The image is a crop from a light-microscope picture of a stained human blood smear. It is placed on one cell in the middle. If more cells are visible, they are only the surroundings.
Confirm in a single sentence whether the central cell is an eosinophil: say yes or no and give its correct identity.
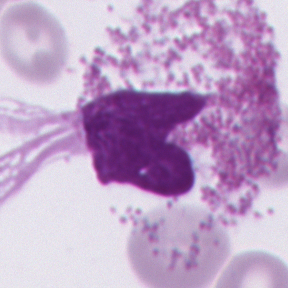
Yes, that middle cell in the crop is an eosinophil.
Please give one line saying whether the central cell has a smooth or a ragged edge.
A ragged or projecting edge replaces the smooth outline in this cell.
